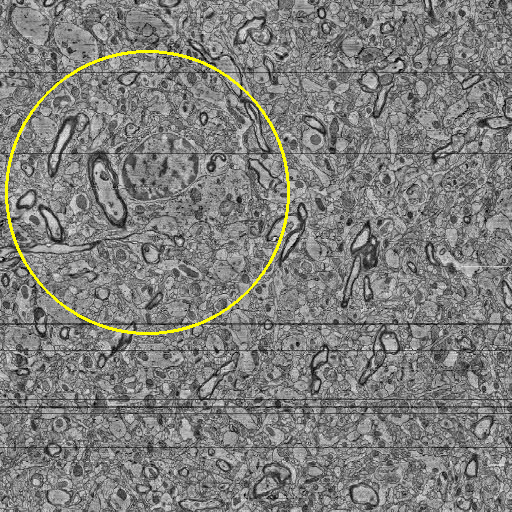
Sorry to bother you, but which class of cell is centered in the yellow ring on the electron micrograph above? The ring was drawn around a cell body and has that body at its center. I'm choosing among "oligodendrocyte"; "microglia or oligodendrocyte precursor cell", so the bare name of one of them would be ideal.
microglia or oligodendrocyte precursor cell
